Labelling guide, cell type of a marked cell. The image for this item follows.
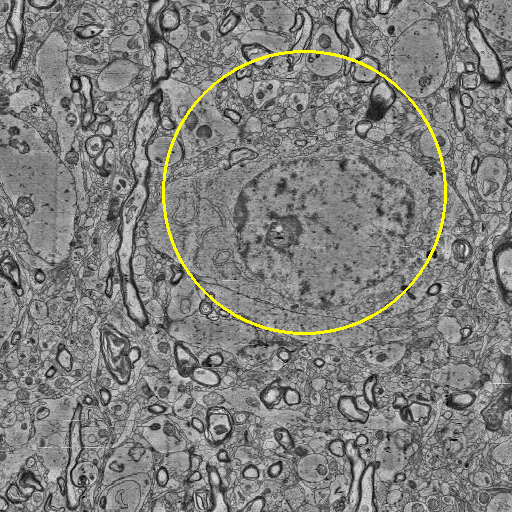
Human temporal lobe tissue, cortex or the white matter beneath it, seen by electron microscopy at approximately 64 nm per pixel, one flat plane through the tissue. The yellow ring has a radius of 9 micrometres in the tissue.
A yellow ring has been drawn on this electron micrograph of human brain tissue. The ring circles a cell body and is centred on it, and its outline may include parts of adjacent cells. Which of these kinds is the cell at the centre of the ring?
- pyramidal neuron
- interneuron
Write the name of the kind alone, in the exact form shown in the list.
interneuron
